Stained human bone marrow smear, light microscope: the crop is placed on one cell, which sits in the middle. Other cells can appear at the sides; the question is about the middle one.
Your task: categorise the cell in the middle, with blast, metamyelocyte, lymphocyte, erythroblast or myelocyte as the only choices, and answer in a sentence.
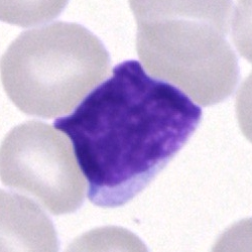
Located at the centre of the crop is a blast.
